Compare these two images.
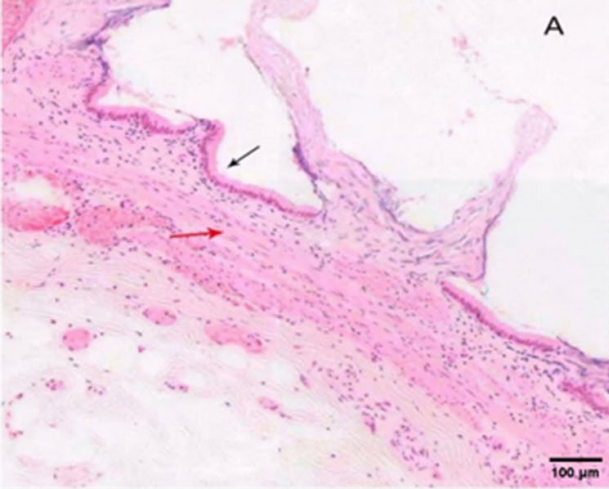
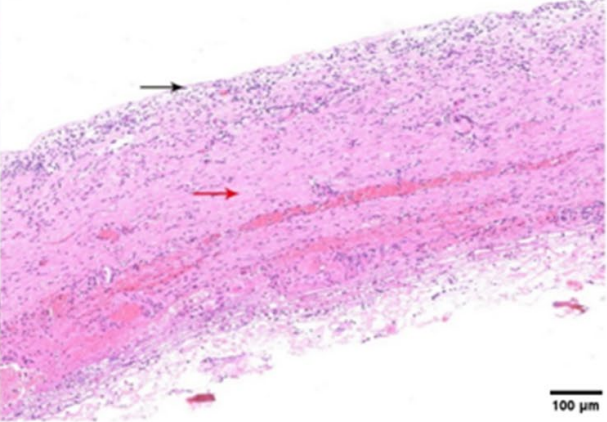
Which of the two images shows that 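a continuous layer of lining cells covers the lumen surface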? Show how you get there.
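Second image: the surface is bare, with crowded small nuclei reaching it. First image: a thin continuous cell layer lines the lumen. On this evidence: the first image.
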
